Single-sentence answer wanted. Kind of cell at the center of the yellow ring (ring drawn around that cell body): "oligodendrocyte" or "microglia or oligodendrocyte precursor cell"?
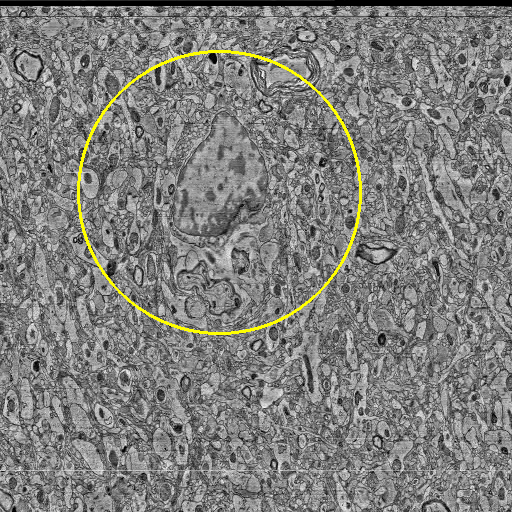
The cell centered in the ring is a microglial cell or oligodendrocyte precursor cell.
